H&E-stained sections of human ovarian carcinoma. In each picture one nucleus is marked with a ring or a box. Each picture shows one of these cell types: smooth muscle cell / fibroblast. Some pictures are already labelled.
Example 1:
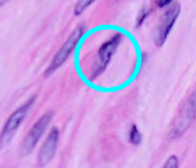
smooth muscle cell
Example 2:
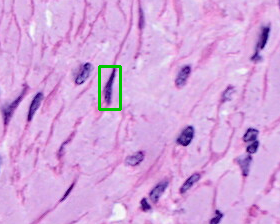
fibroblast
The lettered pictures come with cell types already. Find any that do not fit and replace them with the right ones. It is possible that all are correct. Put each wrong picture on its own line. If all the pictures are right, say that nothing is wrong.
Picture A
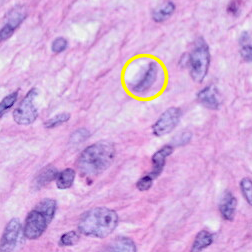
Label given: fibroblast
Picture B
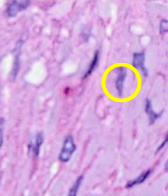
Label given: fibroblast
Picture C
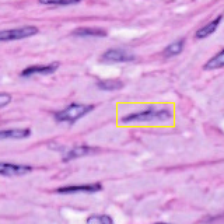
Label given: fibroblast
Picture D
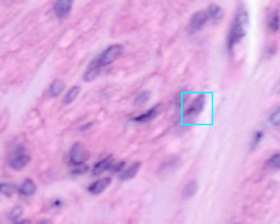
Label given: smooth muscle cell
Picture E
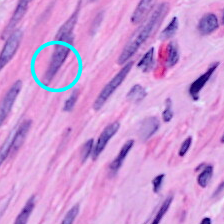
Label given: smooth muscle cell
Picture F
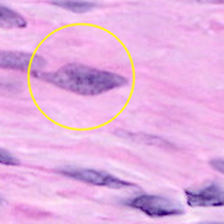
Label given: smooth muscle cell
Nothing to fix; every label fits.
